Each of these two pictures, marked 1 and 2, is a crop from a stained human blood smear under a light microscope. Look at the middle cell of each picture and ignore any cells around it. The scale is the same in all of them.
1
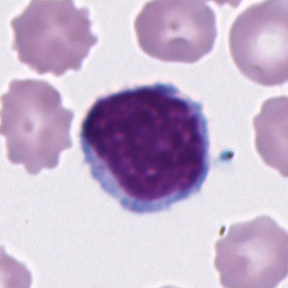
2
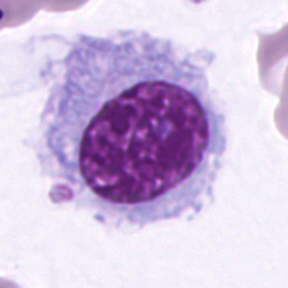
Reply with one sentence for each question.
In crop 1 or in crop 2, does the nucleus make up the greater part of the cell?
Of the two, the nucleus in crop 1 makes up the greater part of its cell.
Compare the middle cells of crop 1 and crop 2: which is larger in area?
The cell in crop 2 is larger, with about 2 times the area of the one in crop 1.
